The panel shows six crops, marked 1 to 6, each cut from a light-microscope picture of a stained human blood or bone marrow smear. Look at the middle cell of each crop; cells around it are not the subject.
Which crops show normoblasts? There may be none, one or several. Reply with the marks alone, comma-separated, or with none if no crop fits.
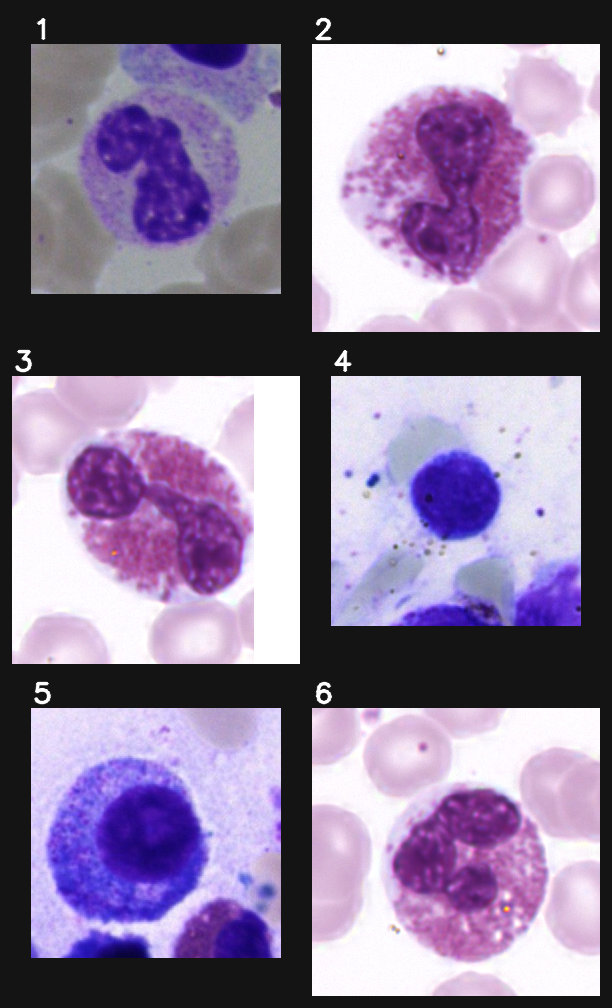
none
